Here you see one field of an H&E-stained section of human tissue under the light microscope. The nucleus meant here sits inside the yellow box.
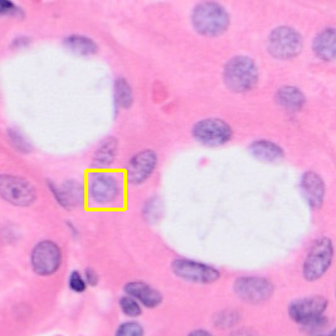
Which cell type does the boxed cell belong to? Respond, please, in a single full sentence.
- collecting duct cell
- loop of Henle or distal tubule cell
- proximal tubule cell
The identity of the boxed cell: it is a collecting duct cell.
